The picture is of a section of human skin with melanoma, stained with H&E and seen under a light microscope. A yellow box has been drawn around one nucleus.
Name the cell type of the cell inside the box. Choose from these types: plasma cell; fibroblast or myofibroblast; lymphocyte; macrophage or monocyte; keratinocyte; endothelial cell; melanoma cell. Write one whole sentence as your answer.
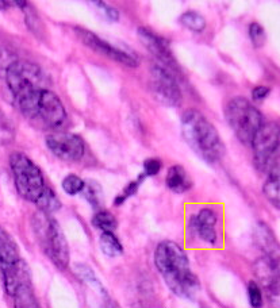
Just put down that the cell inside the box is a macrophage or monocyte.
